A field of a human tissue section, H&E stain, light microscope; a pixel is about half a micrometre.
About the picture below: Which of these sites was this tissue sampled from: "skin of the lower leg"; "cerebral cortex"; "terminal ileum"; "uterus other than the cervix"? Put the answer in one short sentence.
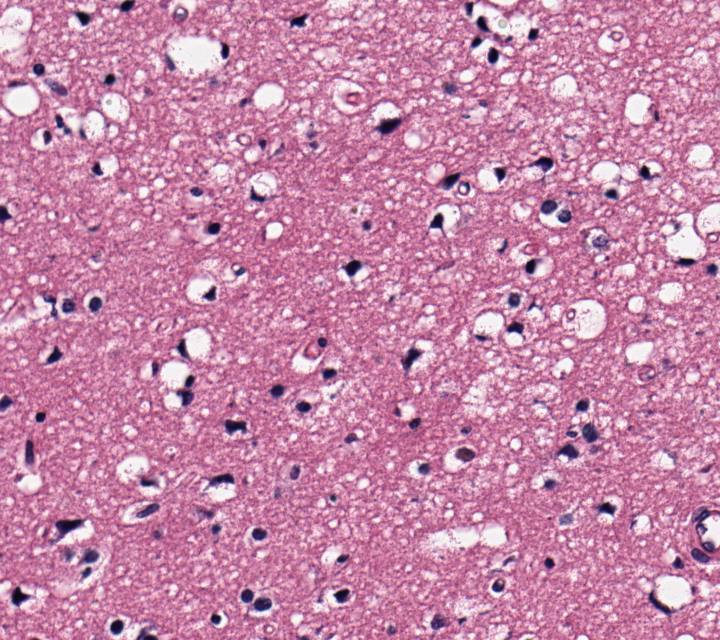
The site this tissue was sampled from is the cerebral cortex.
